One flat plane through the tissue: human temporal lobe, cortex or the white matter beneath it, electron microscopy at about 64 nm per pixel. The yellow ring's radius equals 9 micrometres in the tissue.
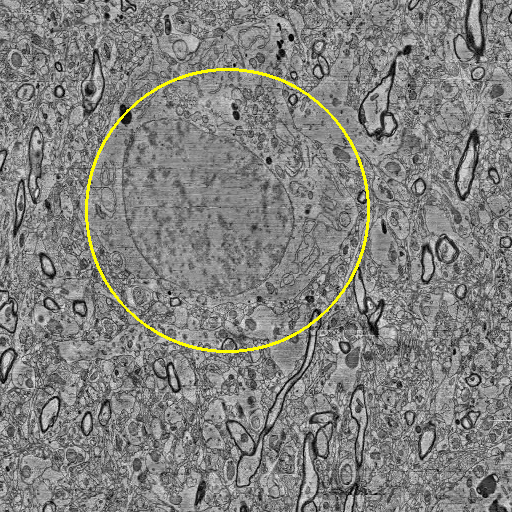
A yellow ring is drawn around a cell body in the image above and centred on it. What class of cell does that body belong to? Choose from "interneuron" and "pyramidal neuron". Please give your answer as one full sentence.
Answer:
The yellow ring above is centred on the cell body of an interneuron.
